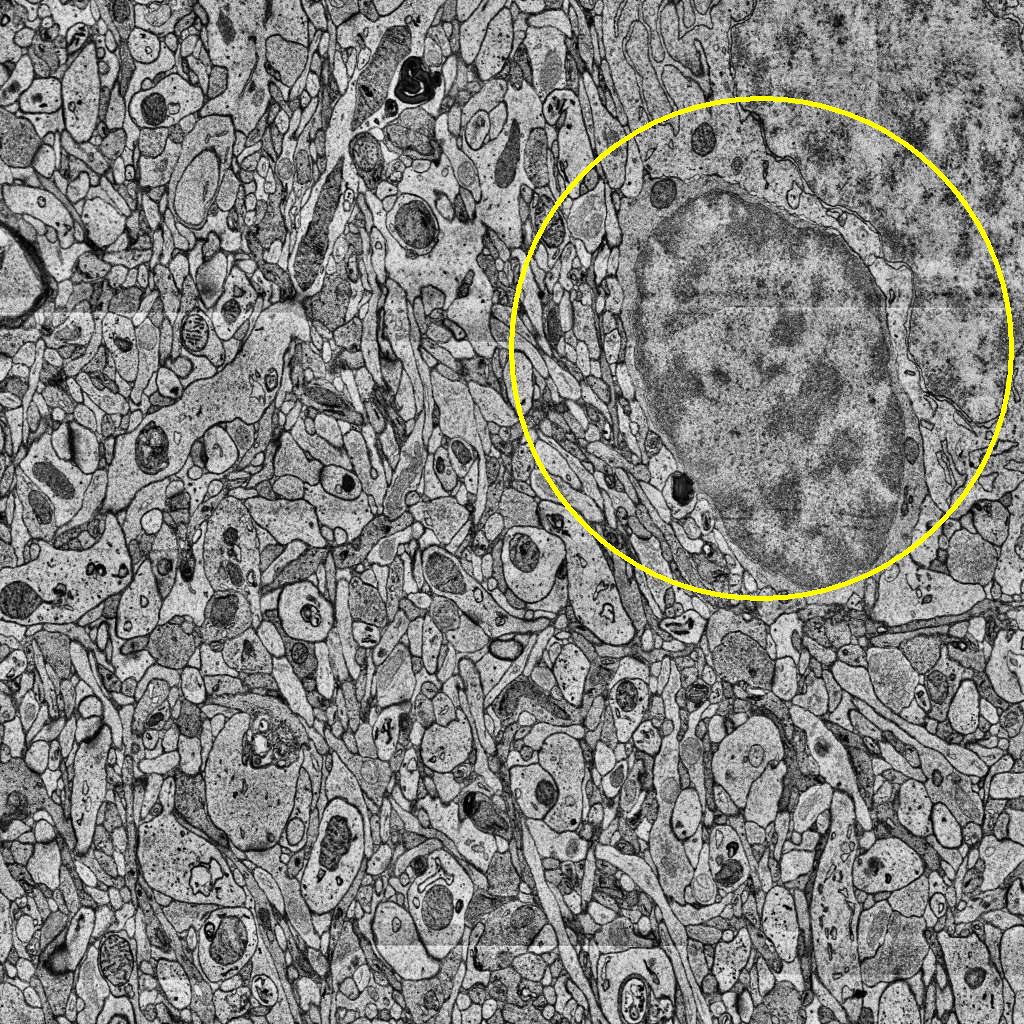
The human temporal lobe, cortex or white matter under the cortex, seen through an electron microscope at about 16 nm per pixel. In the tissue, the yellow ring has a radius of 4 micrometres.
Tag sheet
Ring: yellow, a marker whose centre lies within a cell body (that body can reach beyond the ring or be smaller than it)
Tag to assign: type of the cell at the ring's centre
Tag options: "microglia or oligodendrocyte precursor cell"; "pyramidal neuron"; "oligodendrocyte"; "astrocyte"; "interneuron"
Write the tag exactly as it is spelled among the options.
oligodendrocyte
